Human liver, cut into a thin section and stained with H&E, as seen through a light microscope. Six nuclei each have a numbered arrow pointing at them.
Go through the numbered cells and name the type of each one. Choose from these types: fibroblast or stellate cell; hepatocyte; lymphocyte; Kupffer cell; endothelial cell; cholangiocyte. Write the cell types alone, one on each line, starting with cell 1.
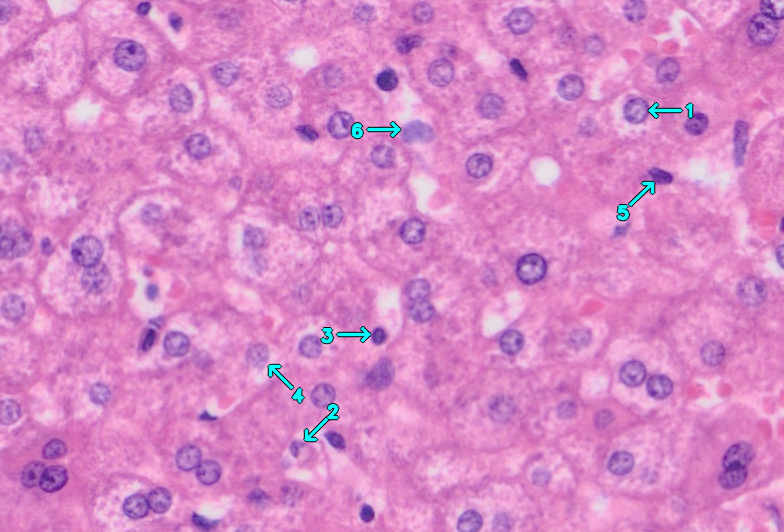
hepatocyte
Kupffer cell
lymphocyte
hepatocyte
fibroblast or stellate cell
endothelial cell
